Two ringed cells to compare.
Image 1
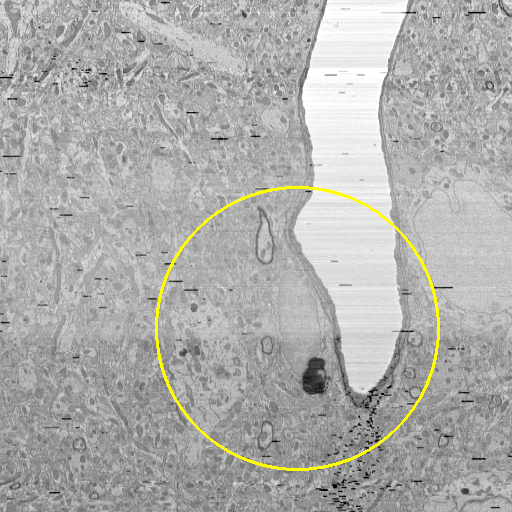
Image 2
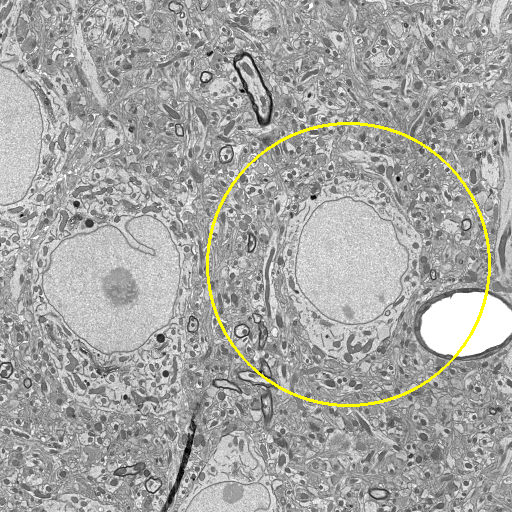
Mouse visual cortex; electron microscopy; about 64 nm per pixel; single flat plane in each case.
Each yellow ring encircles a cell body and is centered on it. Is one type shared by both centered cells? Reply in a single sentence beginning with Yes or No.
No, two types are found among the cells at the centers of the rings.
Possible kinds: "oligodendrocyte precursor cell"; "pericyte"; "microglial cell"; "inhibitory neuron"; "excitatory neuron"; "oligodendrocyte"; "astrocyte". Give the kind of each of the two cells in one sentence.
The cell in the second picture is an excitatory neuron, and that in the first is a microglial cell.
